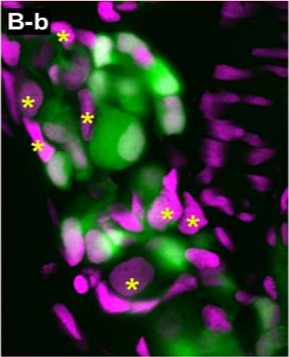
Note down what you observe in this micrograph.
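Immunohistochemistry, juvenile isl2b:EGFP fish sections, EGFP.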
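Cluster of ganglion neuron cell bodies at high magnification. Green cell bodies are round to oval and differ in size; some are bright, others dim. Many carry a pale, whitish round nucleus where green and magenta overlap. Between and around them lie small, elongated, spindle-shaped magenta nuclei, squeezed in the narrow spaces between the larger cell bodies. Several rounded bodies, marked by asterisks, are magenta with little or no green, showing cell bodies that lack or barely show the green label amid the green ones. Cells are tightly packed without clear layering.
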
